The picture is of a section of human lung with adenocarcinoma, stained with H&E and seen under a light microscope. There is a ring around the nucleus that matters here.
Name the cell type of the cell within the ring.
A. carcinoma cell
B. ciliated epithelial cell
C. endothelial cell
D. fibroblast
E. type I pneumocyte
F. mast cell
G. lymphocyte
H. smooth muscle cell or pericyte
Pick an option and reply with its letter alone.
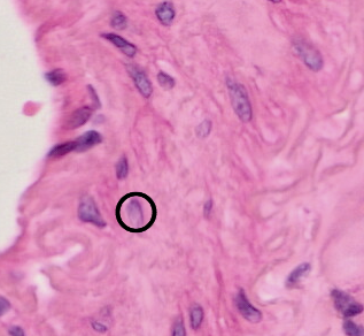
H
